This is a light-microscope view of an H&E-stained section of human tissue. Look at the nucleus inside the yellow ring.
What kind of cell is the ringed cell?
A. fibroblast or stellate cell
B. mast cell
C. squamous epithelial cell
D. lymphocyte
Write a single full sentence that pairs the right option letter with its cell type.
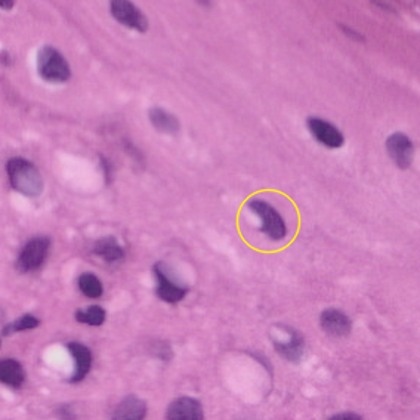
Here the right answer is C, with the ringed cell being a squamous epithelial cell.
